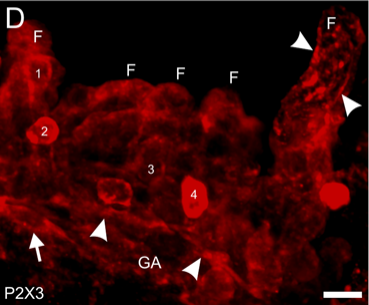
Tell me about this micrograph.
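This is a gill arch with budding gill filament primordia along its upper edge, seen in red fluorescence. The filament buds are rounded lobes of epithelium, and within them several single cells are strongly red, round to oval and larger than their neighbours. One round cell inside an outlined epithelial compartment is not filled with red. The tall filament at the right shows a streaky, fibre-like red pattern running along its length.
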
